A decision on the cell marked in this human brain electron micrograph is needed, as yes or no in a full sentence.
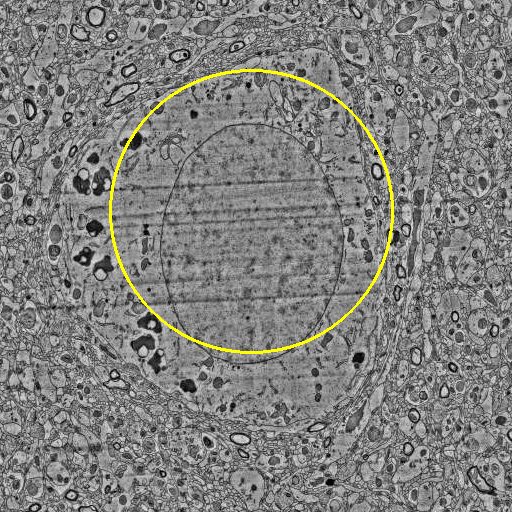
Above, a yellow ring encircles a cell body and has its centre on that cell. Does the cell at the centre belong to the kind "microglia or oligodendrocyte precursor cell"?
No, a different kind fits the cell at the centre of the ring in the picture.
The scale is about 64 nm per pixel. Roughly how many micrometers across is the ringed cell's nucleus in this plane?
The nucleus comes to roughly 15 by 12 micrometres in this plane.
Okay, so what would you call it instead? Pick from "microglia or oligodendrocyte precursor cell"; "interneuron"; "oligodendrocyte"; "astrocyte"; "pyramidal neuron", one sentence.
The cell marked by the ring is a pyramidal neuron.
